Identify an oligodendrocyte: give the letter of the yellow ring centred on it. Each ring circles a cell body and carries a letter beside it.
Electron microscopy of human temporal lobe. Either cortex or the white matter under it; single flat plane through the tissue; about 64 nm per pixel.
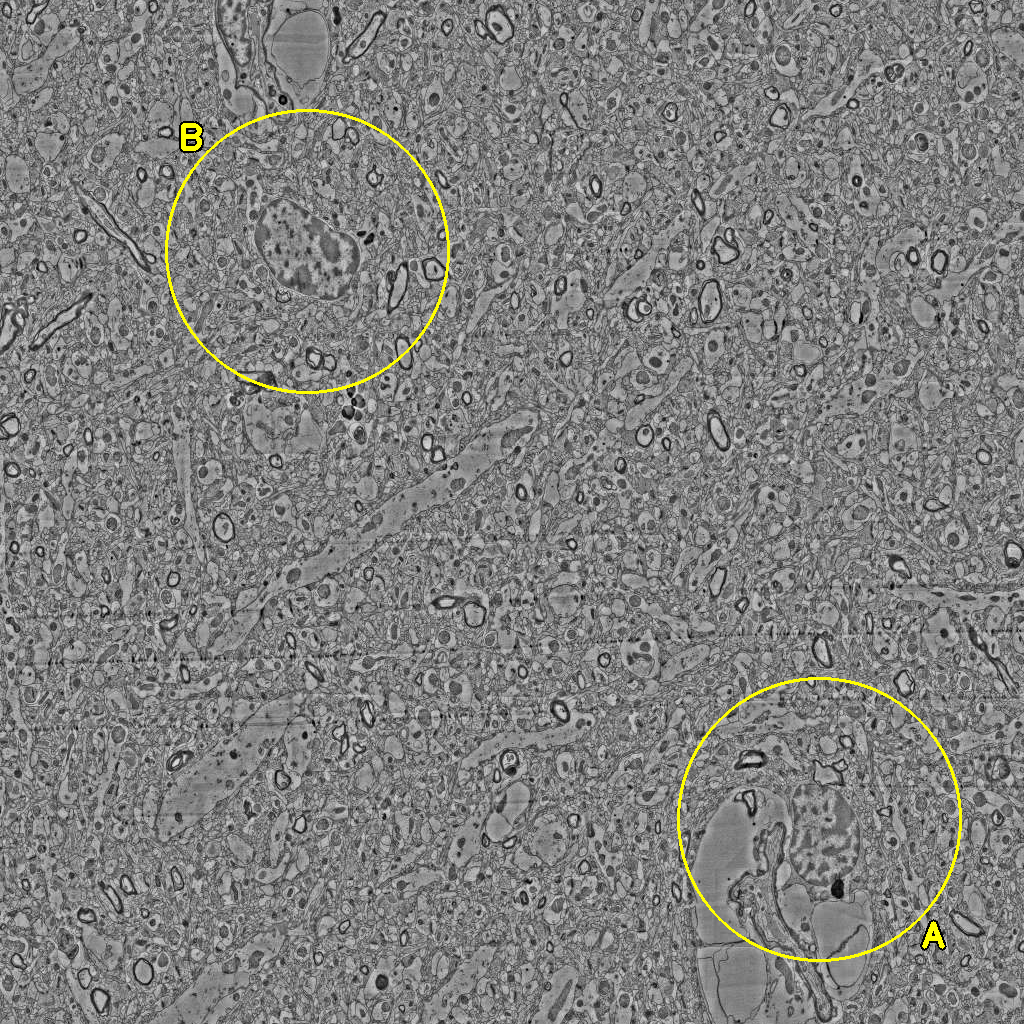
A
